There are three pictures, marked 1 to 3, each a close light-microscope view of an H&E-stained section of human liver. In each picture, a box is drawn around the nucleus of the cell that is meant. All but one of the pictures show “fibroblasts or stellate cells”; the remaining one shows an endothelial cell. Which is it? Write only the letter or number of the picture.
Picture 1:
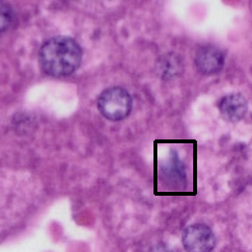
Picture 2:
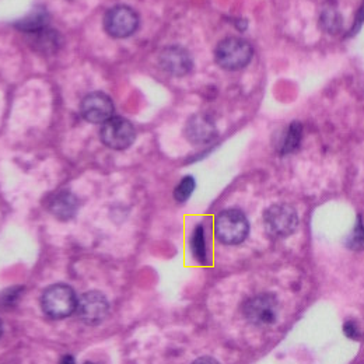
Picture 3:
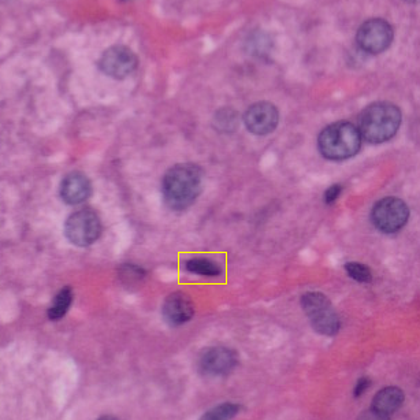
1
